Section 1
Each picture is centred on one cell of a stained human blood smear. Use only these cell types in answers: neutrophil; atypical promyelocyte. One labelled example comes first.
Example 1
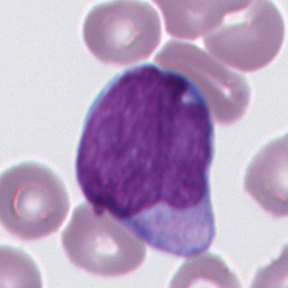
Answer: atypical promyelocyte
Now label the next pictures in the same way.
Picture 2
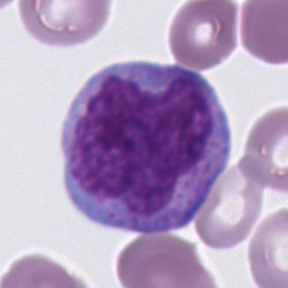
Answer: atypical promyelocyte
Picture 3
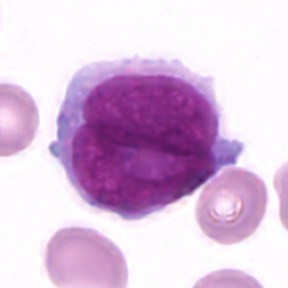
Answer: atypical promyelocyte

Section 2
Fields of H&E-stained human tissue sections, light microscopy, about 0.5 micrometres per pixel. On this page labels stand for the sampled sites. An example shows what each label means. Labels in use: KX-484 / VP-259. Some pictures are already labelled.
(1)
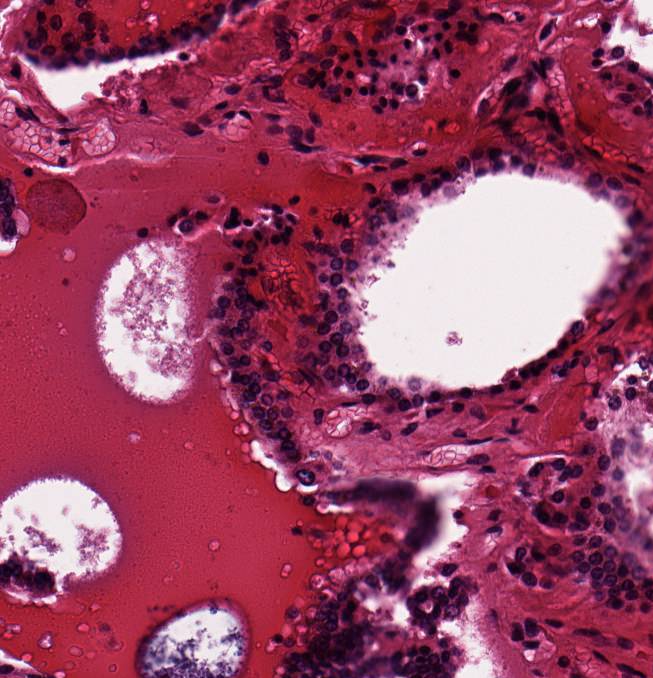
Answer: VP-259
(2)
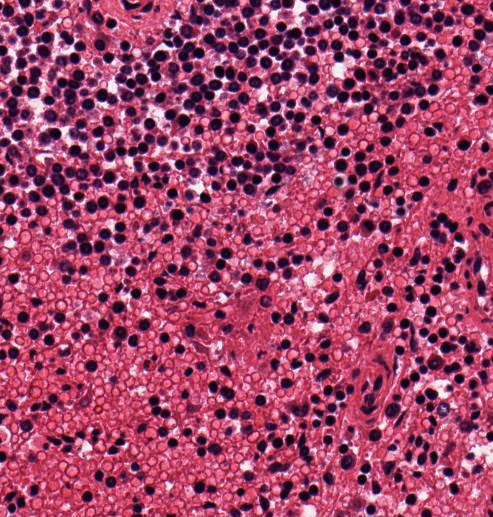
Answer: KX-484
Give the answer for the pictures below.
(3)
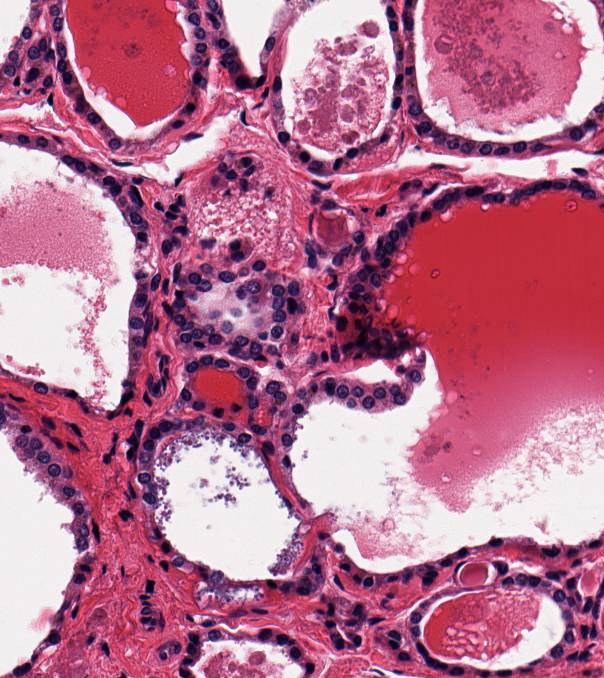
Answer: VP-259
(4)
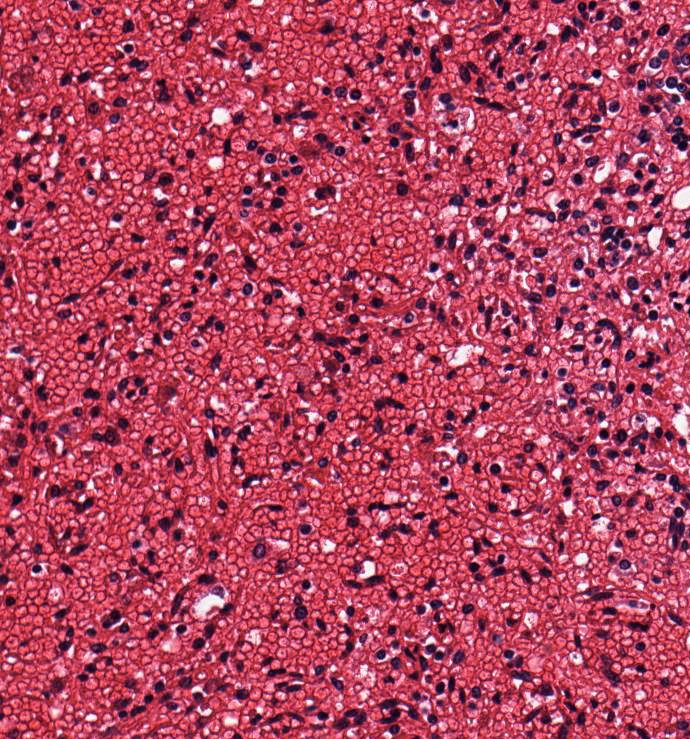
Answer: KX-484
